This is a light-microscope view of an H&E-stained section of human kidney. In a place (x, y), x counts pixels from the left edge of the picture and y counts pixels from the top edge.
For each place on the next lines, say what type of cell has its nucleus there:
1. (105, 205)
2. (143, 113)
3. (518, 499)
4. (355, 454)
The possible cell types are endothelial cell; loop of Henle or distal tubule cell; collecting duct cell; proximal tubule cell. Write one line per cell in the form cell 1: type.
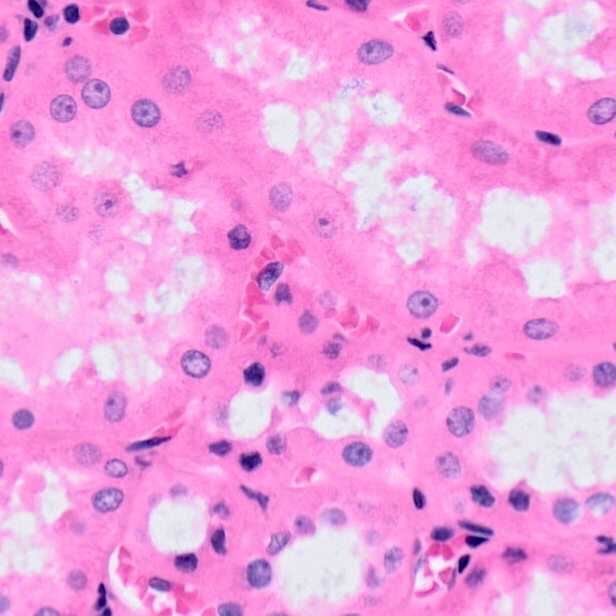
cell 1: proximal tubule cell
cell 2: proximal tubule cell
cell 3: loop of Henle or distal tubule cell
cell 4: loop of Henle or distal tubule cell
